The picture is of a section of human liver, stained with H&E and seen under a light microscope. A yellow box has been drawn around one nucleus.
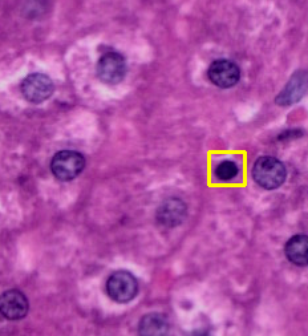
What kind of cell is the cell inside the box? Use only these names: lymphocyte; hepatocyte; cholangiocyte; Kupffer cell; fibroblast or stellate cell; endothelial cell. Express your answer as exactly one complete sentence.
Speaking plainly, the cell inside the box is nothing other than a lymphocyte.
